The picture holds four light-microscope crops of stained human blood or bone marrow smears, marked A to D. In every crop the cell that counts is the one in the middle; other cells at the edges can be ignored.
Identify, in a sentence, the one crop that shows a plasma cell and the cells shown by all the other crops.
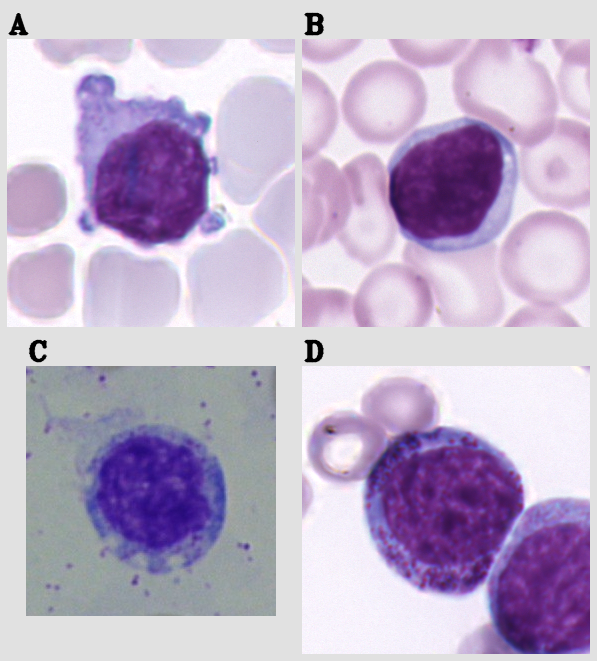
In crop A, the cell at the centre is a plasma cell, while crop B is a lymphocyte, crop C is a monocyte and crop D is a promyelocyte.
